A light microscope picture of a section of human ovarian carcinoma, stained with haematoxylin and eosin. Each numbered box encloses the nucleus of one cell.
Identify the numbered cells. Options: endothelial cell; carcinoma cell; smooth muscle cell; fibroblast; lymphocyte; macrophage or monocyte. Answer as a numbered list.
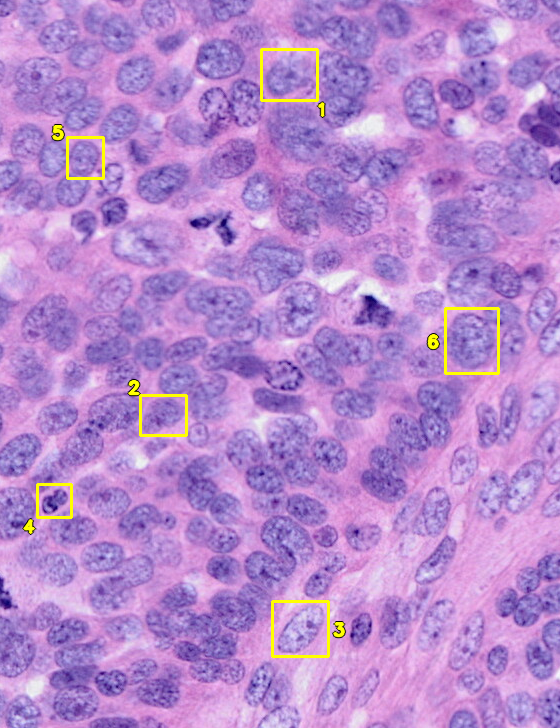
1. carcinoma cell
2. carcinoma cell
3. fibroblast
4. lymphocyte
5. carcinoma cell
6. carcinoma cell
